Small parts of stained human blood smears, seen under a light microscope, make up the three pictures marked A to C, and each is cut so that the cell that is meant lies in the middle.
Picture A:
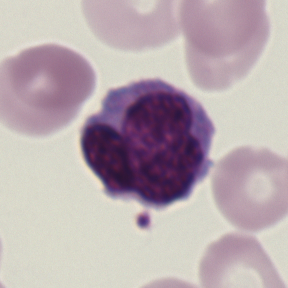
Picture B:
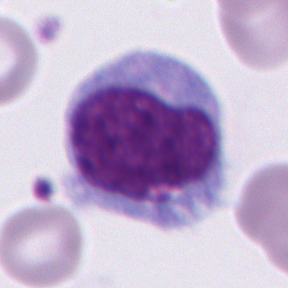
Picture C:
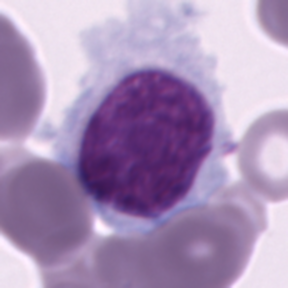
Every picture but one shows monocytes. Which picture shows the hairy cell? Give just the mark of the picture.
C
